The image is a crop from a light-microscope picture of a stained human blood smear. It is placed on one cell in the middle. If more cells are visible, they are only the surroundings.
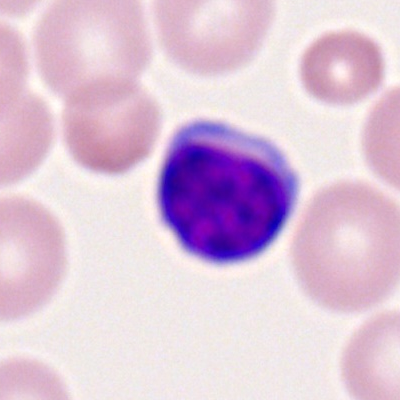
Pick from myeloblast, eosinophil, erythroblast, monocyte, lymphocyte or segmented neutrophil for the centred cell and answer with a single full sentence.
The cell occupying the middle of the crop is a lymphocyte.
